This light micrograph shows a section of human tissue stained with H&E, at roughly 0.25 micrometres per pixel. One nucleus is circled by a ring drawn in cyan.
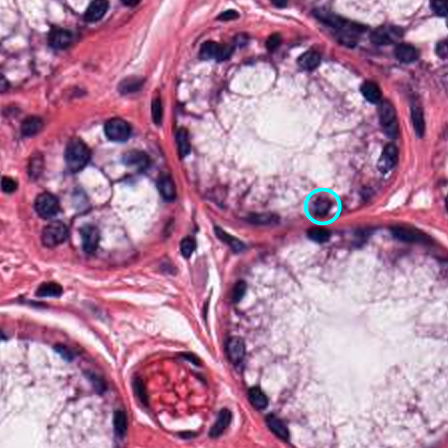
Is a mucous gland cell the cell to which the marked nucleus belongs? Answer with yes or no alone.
yes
